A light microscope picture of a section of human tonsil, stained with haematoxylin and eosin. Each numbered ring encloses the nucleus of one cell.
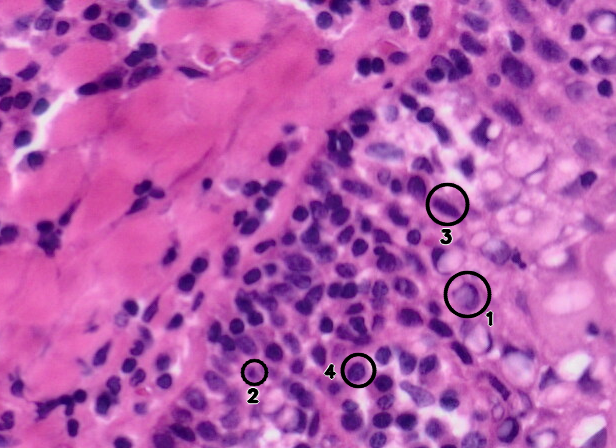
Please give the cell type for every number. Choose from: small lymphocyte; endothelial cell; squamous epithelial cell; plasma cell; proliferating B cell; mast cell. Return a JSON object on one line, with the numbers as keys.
{"1": "squamous epithelial cell", "2": "squamous epithelial cell", "3": "squamous epithelial cell", "4": "plasma cell"}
